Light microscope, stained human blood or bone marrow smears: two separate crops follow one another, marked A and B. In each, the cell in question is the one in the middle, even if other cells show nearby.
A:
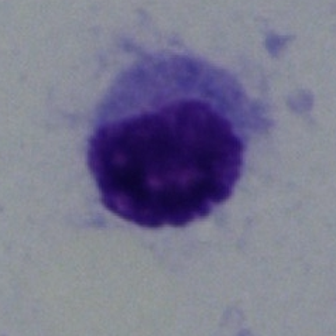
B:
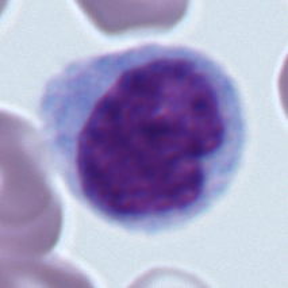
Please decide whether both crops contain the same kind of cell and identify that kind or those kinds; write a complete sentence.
No, crop A should be called a hairy cell, and crop B should be called a monocyte.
